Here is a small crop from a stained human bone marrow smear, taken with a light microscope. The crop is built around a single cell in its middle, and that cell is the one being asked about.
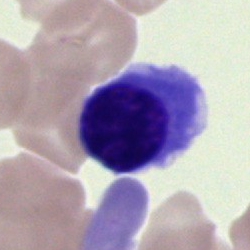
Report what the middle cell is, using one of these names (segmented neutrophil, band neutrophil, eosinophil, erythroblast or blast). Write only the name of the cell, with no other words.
erythroblast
